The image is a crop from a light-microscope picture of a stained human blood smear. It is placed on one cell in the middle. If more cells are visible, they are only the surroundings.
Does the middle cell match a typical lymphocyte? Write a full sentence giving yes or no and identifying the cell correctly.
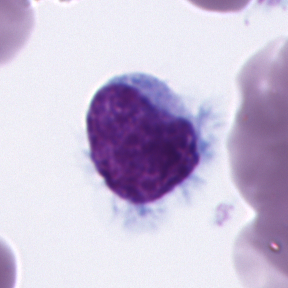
No, the label for the central cell is a hairy cell, not a typical lymphocyte.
